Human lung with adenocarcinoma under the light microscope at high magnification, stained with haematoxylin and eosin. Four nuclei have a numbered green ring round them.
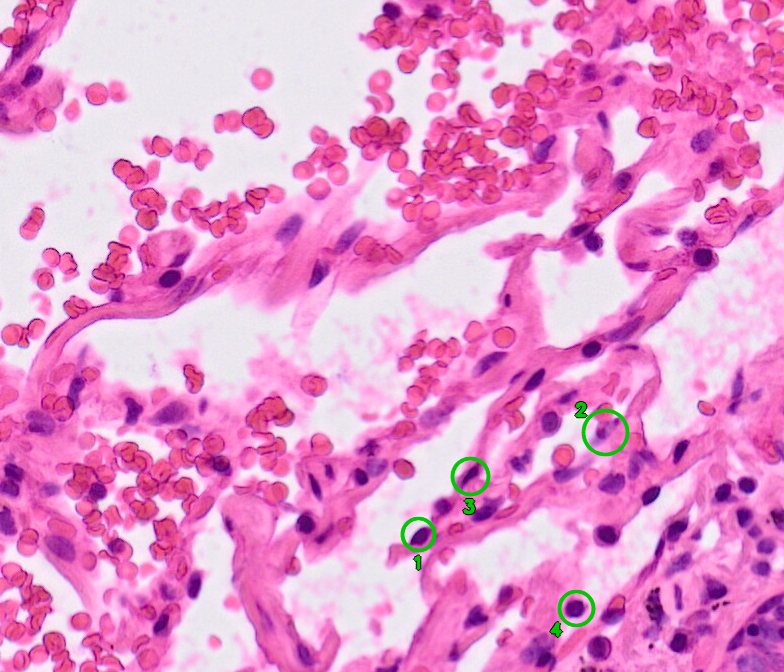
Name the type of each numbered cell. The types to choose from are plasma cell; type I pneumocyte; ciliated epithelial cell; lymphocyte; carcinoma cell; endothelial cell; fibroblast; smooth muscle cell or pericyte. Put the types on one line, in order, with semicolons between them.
type I pneumocyte; type I pneumocyte; endothelial cell; lymphocyte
